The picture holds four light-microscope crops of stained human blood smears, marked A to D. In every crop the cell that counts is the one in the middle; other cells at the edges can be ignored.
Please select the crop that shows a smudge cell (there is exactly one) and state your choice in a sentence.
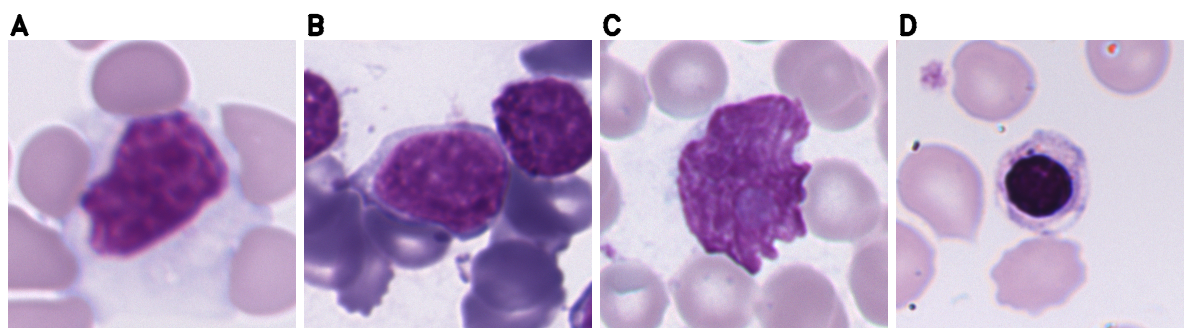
The crop bearing a smudge cell is crop C.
